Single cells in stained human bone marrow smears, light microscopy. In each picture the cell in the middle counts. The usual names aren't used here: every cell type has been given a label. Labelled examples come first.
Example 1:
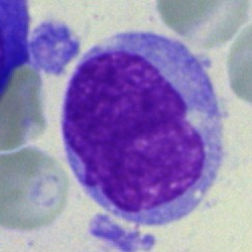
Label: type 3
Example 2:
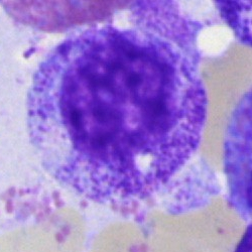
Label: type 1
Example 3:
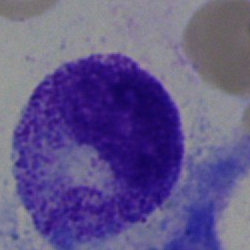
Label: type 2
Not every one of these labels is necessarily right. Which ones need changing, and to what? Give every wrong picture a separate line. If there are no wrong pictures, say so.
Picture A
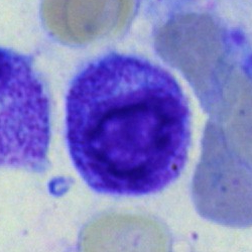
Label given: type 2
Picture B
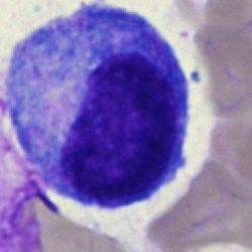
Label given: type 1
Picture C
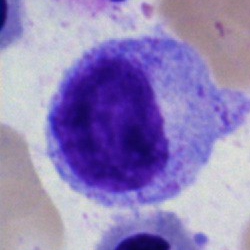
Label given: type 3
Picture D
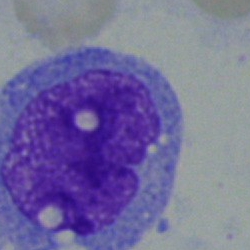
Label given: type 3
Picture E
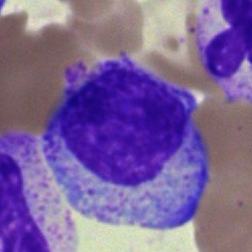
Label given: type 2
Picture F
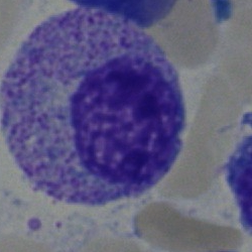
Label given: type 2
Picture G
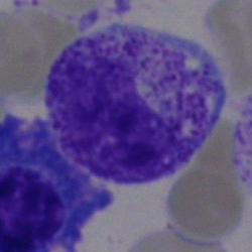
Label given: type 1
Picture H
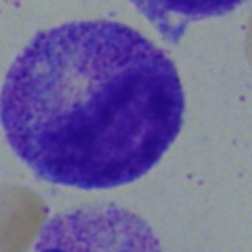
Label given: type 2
C: not type 3 but type 2
G: not type 1 but type 2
